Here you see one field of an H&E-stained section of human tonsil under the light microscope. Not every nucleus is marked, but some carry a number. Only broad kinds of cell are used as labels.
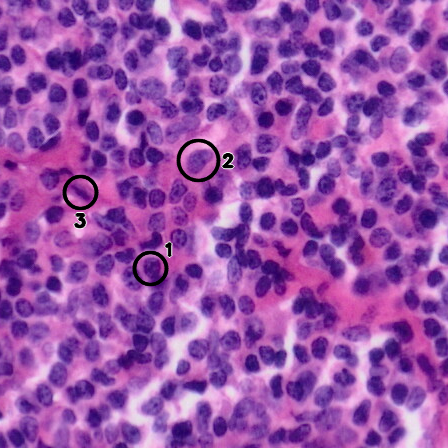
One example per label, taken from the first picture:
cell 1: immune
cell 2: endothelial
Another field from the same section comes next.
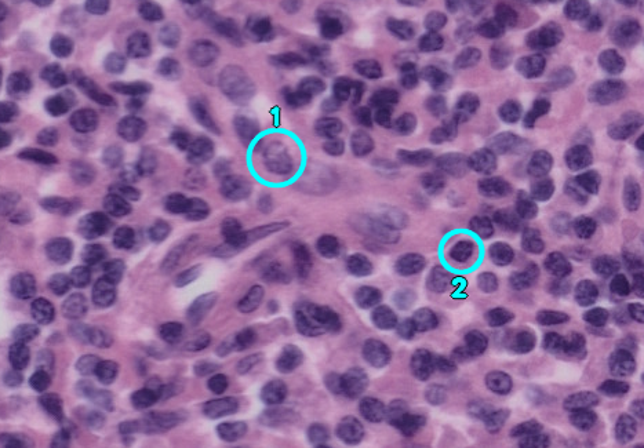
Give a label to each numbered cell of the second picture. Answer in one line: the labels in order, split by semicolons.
endothelial; immune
